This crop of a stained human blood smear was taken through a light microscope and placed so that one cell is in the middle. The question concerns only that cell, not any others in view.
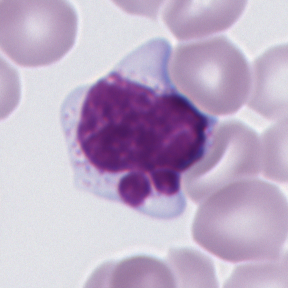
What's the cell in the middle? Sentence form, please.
What sits at the centre of this crop is a large granular lymphocyte.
